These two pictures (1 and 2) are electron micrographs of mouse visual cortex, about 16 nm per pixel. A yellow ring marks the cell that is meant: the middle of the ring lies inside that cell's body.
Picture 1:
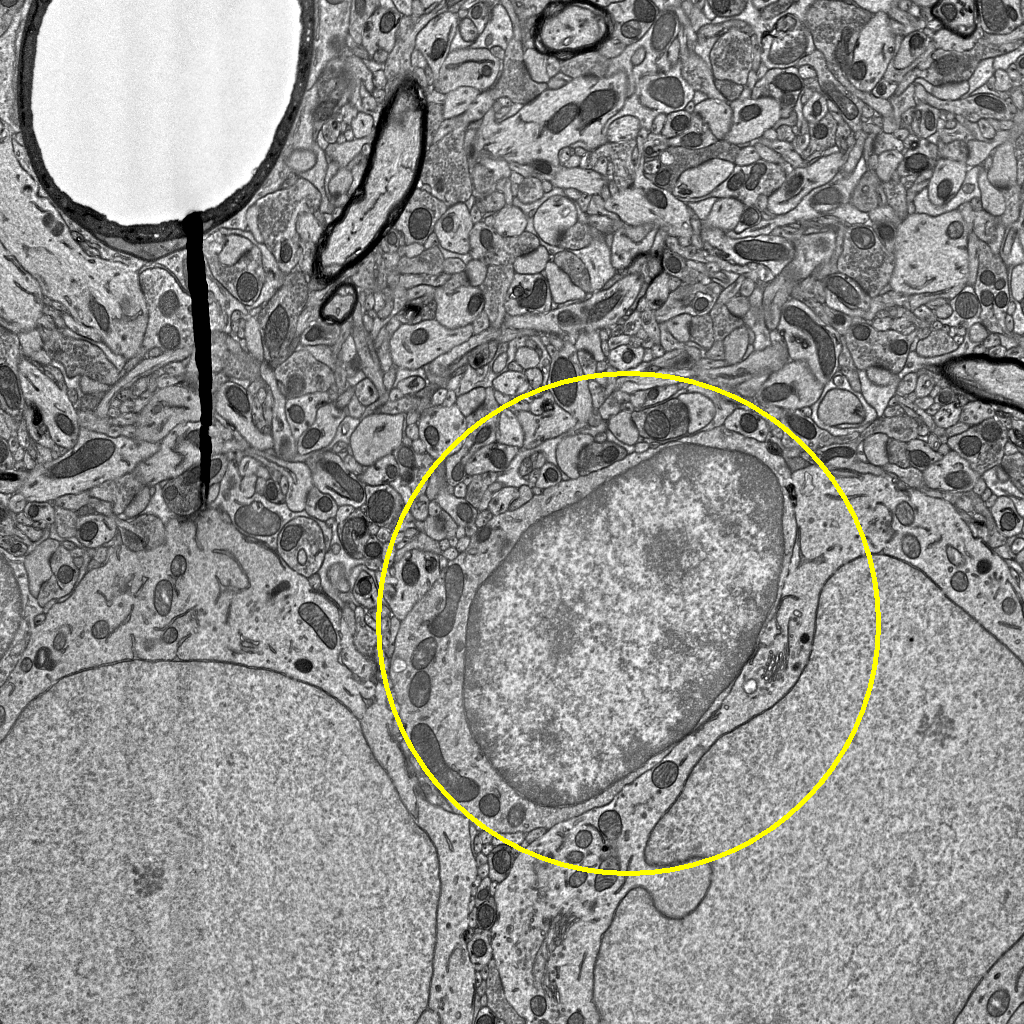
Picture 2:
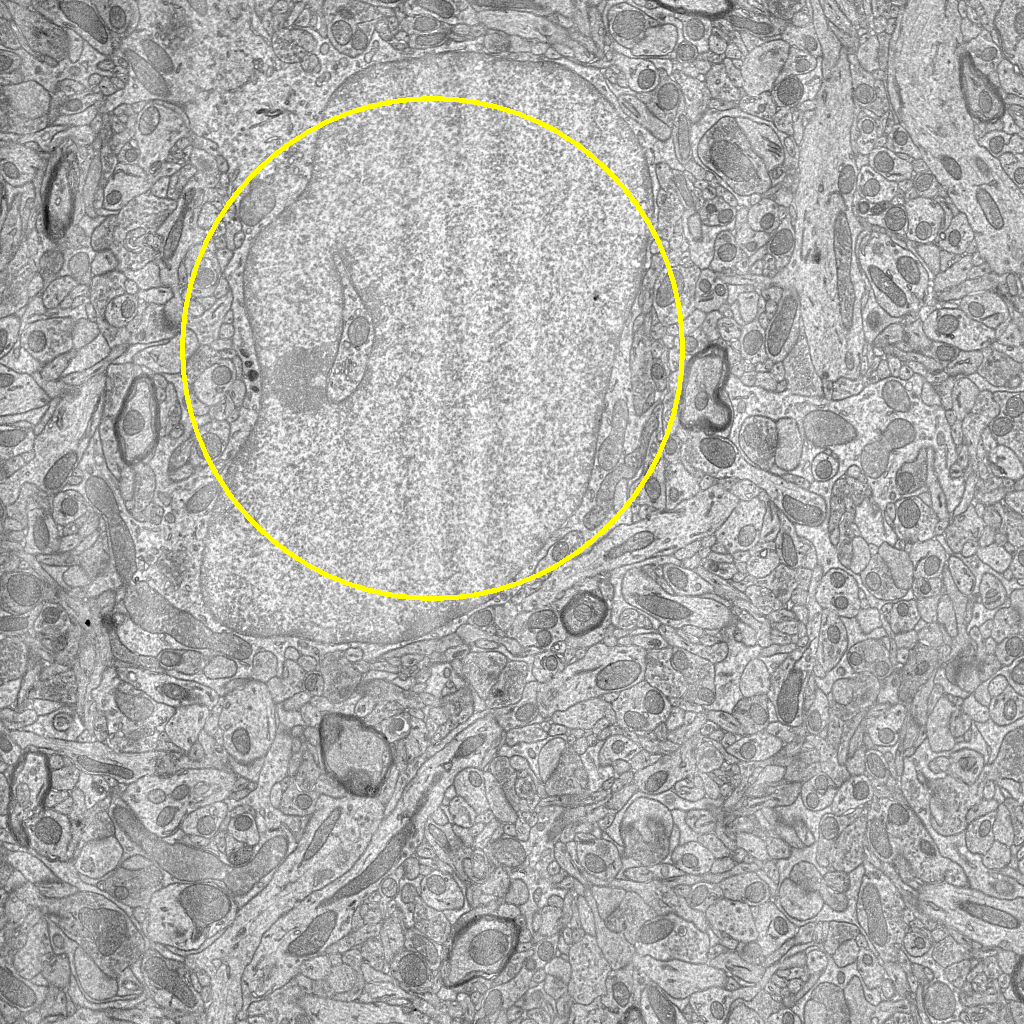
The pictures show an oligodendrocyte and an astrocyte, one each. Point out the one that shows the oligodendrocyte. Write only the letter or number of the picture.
1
